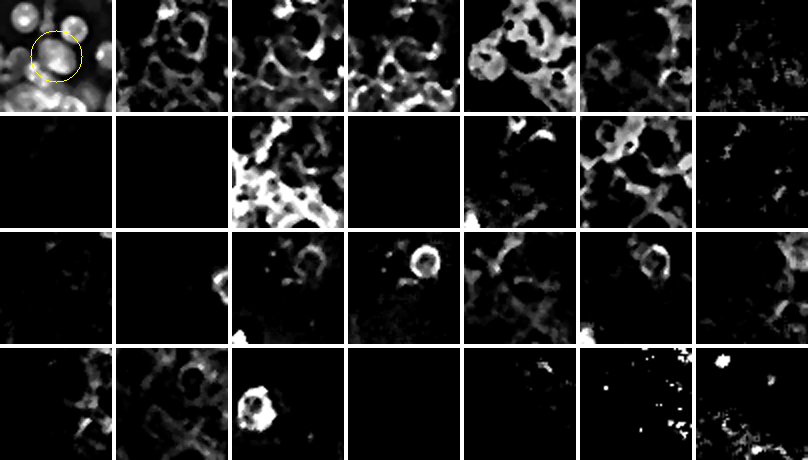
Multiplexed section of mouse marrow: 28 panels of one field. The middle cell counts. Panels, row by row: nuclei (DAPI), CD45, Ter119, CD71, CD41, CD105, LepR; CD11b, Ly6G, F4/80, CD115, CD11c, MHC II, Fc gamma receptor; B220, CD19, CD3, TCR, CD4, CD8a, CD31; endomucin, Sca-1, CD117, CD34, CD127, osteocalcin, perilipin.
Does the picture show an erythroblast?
Yes.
